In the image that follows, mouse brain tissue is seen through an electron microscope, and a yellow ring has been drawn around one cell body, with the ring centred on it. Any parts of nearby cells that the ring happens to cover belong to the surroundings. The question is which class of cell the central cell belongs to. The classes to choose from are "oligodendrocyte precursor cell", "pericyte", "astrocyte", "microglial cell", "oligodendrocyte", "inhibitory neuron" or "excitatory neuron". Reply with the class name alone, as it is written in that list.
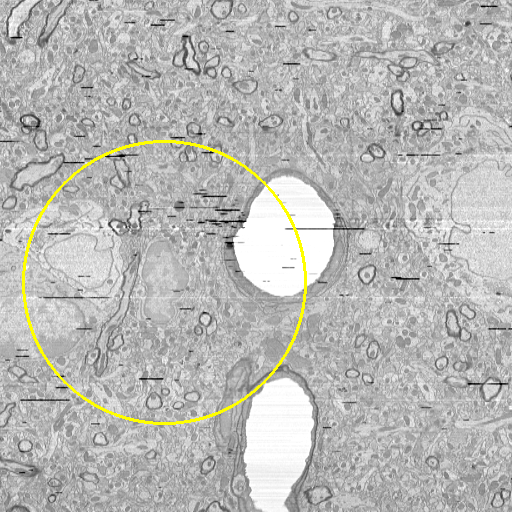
microglial cell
